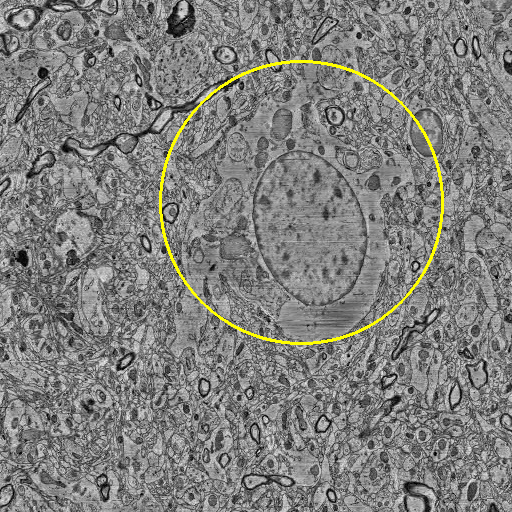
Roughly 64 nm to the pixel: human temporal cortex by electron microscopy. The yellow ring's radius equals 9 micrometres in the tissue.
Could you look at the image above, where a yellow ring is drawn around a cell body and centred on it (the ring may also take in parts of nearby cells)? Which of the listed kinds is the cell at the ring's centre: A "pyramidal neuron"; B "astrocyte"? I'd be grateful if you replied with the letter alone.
B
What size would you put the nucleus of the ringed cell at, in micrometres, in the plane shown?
The nucleus has a long axis of about 10 micrometres and a short axis of about 7 micrometres in this plane.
